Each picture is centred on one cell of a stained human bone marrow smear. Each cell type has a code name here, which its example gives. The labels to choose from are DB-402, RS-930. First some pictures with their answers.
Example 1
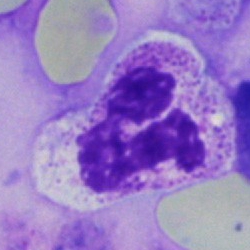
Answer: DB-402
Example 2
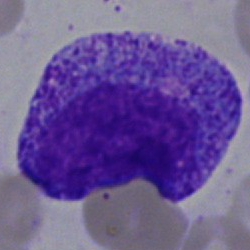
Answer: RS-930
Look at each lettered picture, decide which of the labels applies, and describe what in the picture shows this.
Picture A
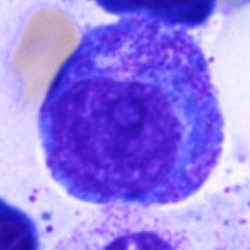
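RS-930. The chromatin is finely granular rather than clumped.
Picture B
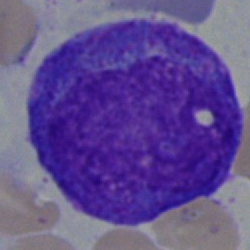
RS-930. The chromatin looks finely granular rather than coarsely clumped.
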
